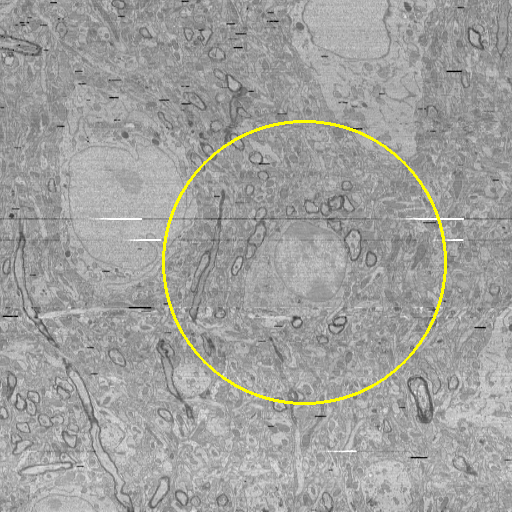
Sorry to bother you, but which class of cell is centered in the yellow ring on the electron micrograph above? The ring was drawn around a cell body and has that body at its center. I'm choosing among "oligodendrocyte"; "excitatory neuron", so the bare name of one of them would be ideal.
oligodendrocyte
